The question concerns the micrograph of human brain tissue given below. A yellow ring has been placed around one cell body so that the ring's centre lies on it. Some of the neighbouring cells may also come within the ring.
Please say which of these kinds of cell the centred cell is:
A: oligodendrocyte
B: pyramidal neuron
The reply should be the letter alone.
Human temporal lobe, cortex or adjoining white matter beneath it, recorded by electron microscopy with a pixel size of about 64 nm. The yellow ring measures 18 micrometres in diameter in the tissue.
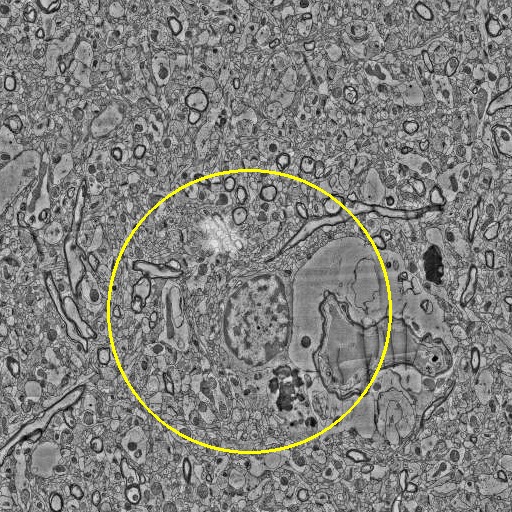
A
